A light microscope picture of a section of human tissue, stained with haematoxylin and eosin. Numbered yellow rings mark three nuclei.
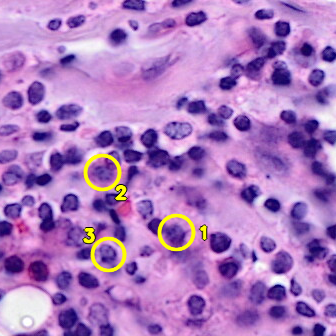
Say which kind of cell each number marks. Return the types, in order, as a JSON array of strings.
["lymphocyte", "mast cell", "lymphocyte"]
